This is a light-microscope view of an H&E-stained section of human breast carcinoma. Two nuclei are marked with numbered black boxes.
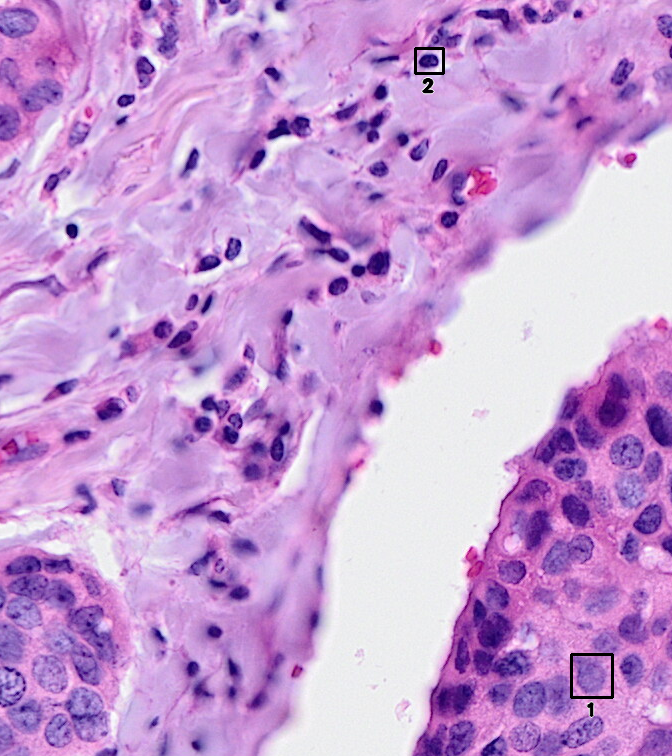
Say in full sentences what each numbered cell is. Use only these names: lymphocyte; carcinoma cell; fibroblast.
Cell 1 is a carcinoma cell. Cell 2 is a lymphocyte.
